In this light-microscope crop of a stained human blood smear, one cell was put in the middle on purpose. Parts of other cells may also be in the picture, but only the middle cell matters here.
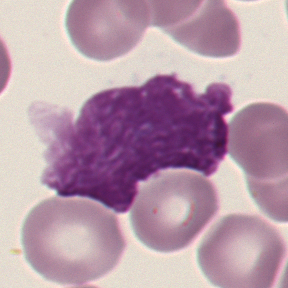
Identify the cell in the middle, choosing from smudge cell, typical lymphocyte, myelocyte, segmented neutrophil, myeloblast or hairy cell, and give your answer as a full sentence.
Here the centrally located cell is a smudge cell.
